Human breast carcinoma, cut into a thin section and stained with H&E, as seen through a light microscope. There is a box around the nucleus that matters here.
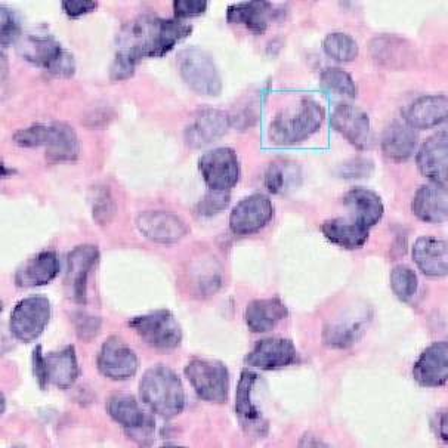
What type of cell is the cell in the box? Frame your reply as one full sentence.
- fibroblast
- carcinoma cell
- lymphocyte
The category to which the cell in the box belongs is that of a carcinoma cell.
